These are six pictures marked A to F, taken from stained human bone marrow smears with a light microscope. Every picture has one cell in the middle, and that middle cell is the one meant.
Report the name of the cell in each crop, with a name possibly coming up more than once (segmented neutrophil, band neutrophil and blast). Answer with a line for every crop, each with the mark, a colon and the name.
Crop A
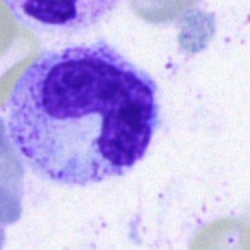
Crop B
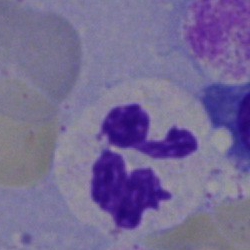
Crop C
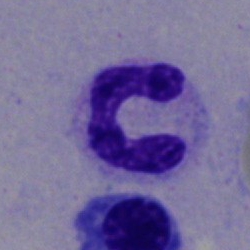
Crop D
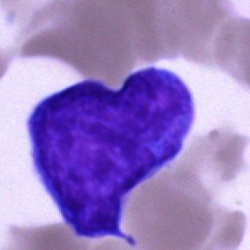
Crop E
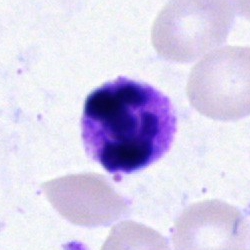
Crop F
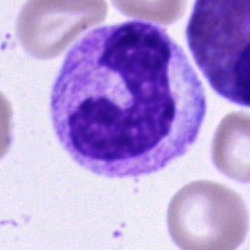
A: band neutrophil
B: segmented neutrophil
C: segmented neutrophil
D: blast
E: segmented neutrophil
F: band neutrophil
